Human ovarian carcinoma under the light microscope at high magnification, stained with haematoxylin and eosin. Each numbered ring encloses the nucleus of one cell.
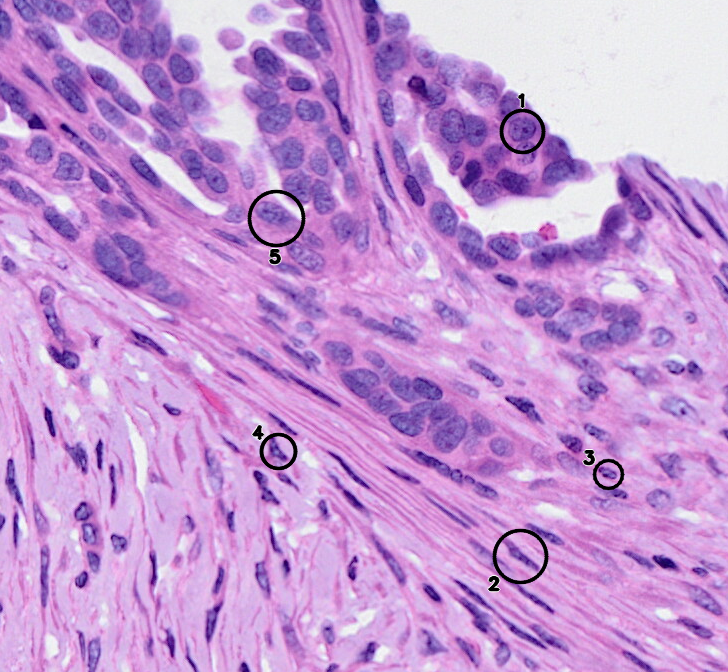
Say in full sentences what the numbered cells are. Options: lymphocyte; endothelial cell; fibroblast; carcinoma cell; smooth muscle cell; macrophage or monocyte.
Cell 1 is a carcinoma cell, cell 2 is a fibroblast, cell 3 is a lymphocyte, cell 4 is a fibroblast and cell 5 is a carcinoma cell.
